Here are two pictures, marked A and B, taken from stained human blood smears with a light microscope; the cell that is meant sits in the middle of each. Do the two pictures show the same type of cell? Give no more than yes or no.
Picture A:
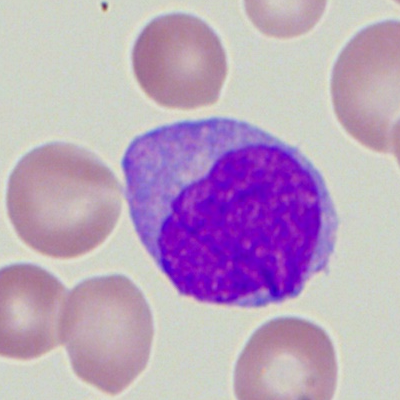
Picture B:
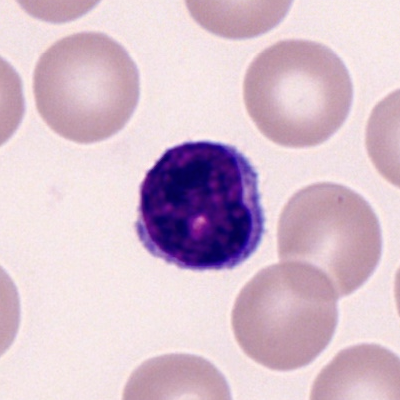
no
